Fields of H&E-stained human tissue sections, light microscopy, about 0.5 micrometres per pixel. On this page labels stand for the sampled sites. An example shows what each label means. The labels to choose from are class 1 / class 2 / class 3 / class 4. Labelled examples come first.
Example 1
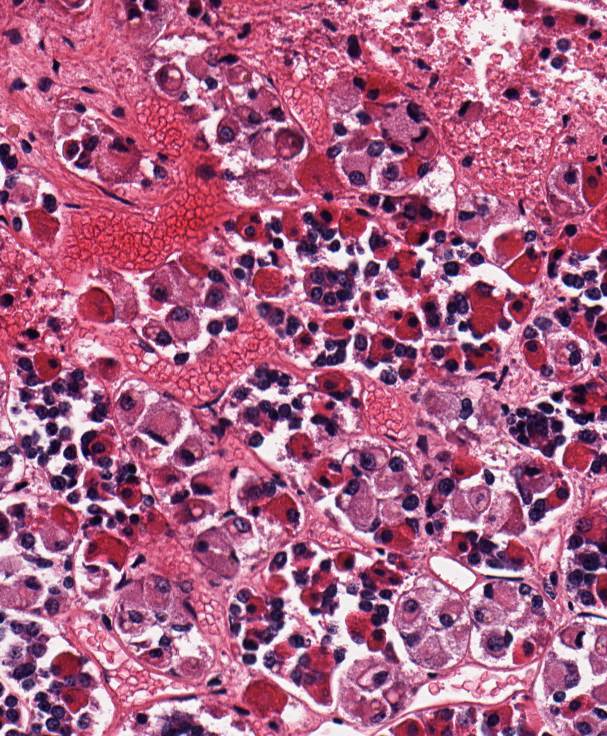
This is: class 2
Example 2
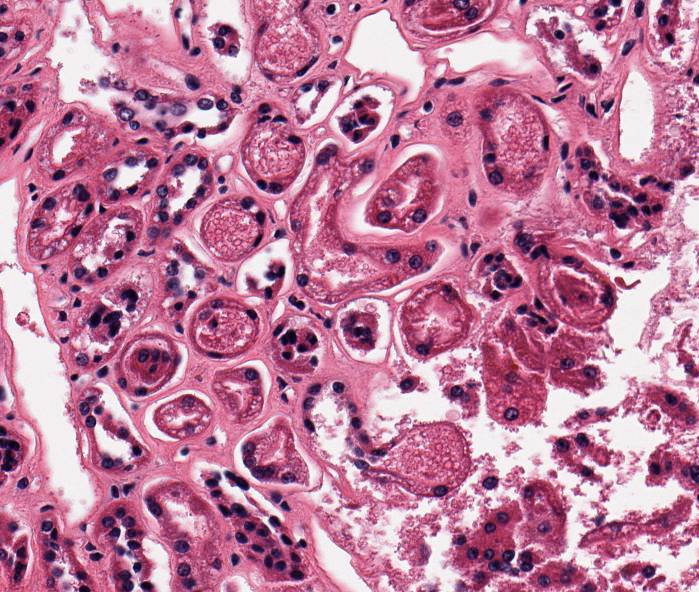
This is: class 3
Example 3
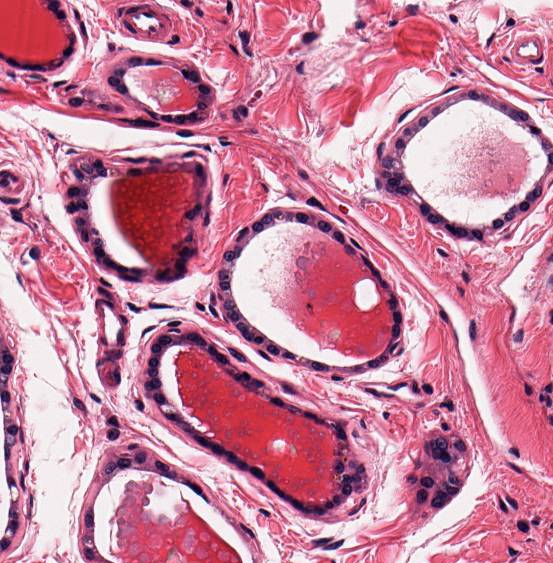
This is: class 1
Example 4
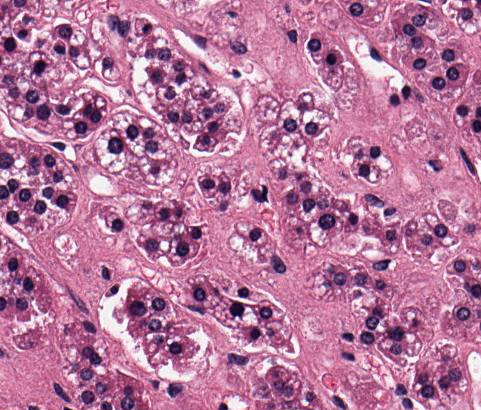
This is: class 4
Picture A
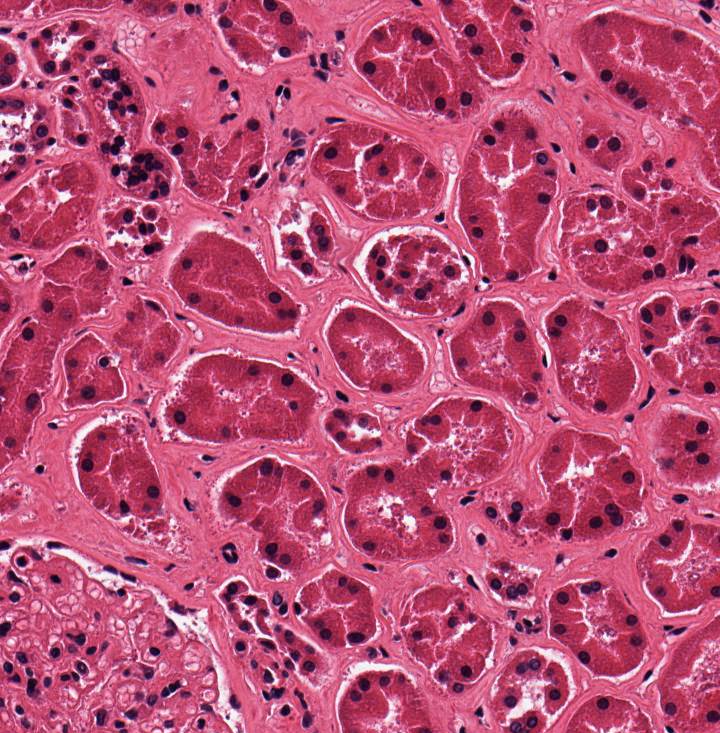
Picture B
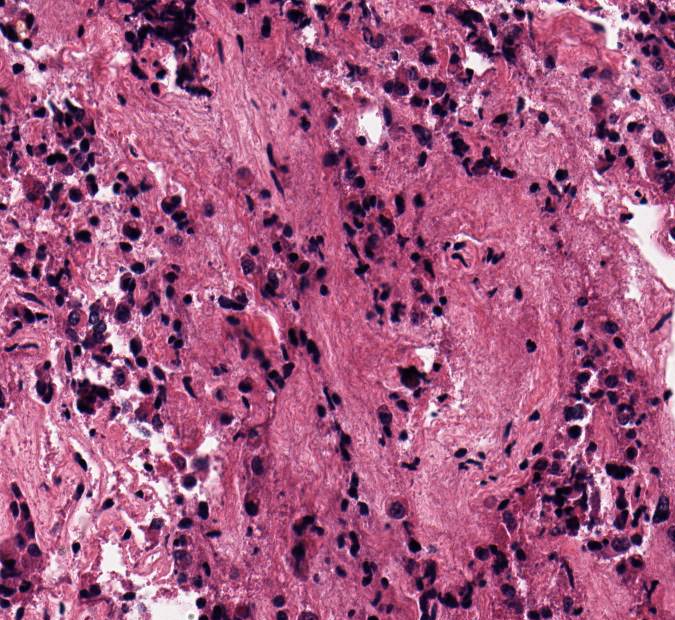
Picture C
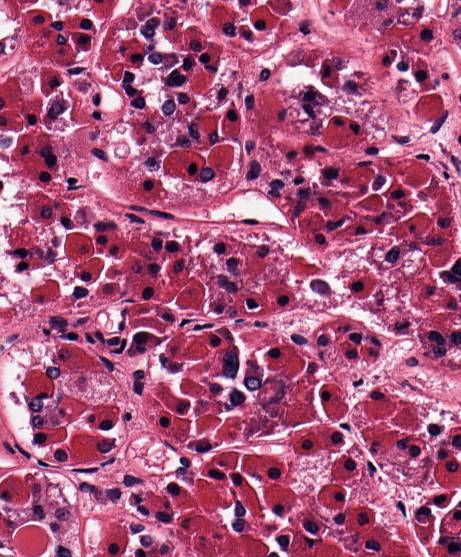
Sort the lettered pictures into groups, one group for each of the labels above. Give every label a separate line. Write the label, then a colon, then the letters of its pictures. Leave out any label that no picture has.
class 2: B, C
class 3: A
